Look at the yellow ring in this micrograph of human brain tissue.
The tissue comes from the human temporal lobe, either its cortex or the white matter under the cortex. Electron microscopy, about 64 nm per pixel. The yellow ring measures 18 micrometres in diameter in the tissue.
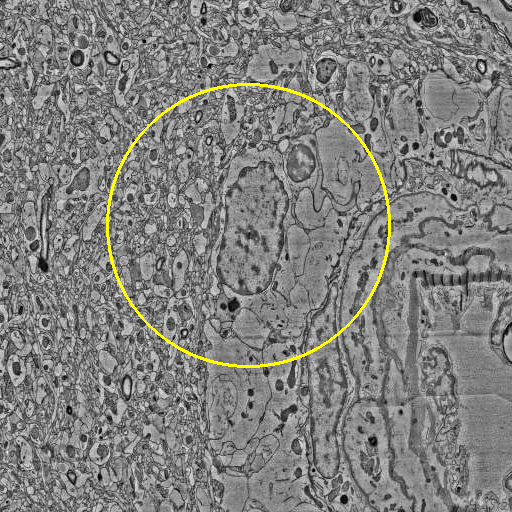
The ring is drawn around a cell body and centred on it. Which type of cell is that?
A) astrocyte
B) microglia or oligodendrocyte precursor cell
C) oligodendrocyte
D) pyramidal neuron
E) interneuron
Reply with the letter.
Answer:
B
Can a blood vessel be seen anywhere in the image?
Yes, a vessel shows somewhere in the image.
